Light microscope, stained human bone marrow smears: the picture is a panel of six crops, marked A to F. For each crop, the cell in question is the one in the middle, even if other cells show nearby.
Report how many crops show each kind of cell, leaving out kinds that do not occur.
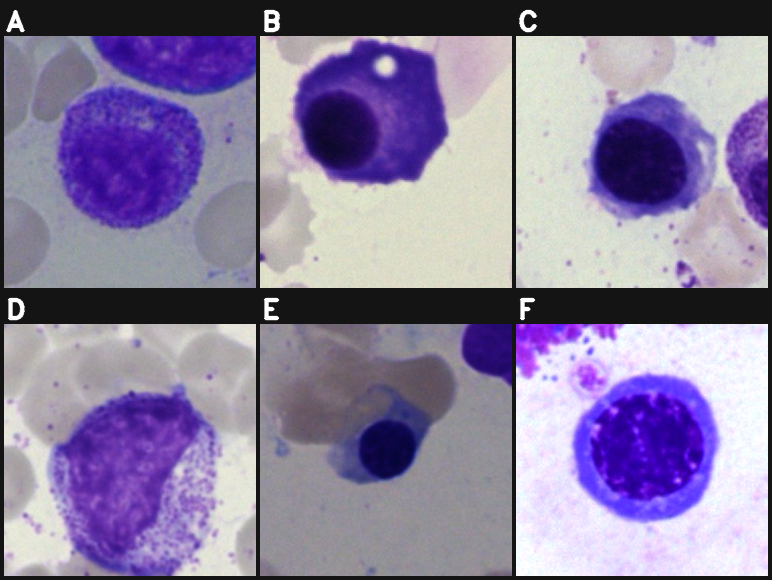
erythroblast: 3
myelocyte: 2
plasma cell: 1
